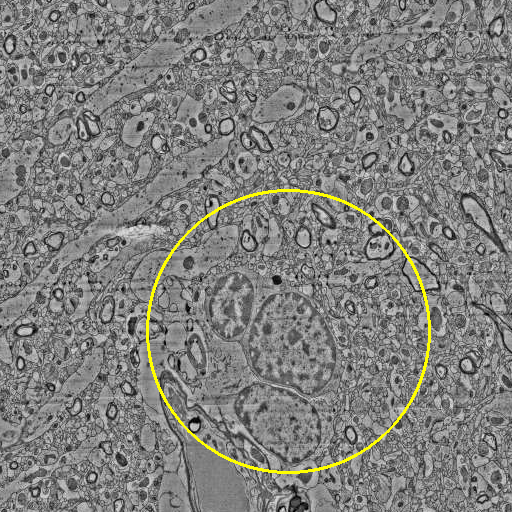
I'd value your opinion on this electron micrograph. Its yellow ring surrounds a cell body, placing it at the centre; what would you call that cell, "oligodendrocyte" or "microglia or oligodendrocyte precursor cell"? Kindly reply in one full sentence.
It is an oligodendrocyte that sits centred within the yellow ring in this micrograph.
